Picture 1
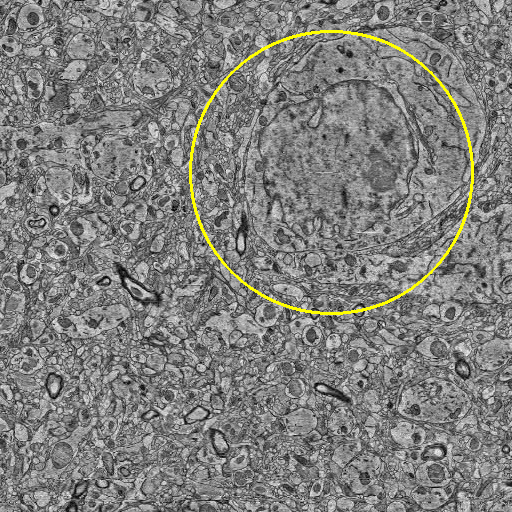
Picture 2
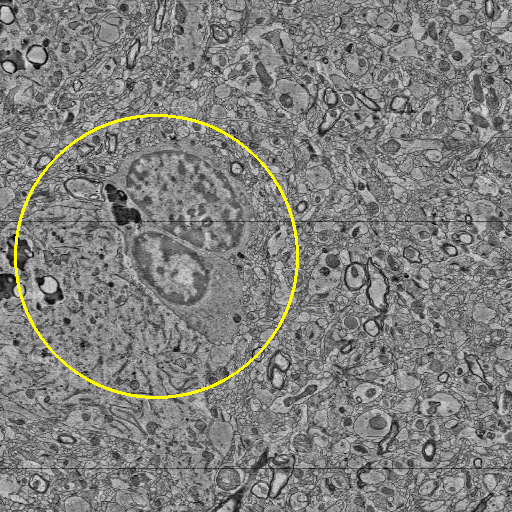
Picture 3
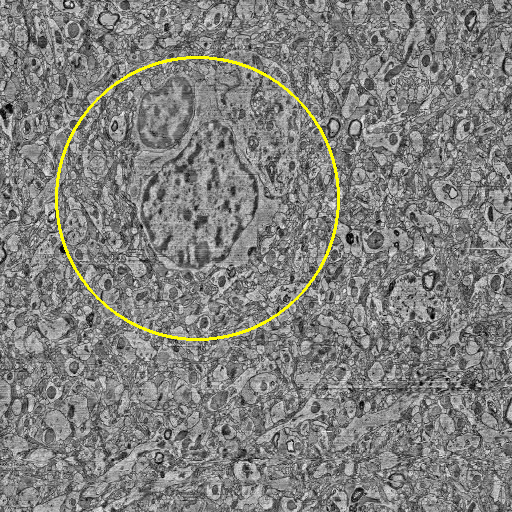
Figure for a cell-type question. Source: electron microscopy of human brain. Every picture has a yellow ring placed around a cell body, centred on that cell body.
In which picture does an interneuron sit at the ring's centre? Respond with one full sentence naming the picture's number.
The cell in the middle of the ring in picture 1 is the one sought.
